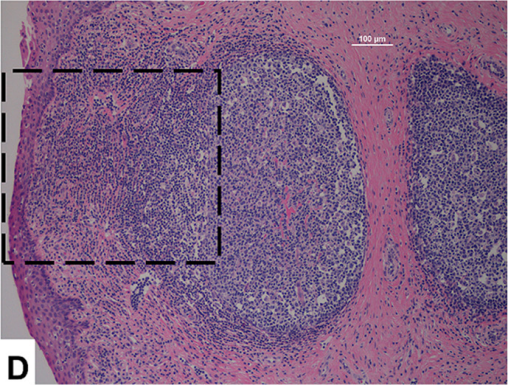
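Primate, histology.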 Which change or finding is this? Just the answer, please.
lymphofollicular hyperplasia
